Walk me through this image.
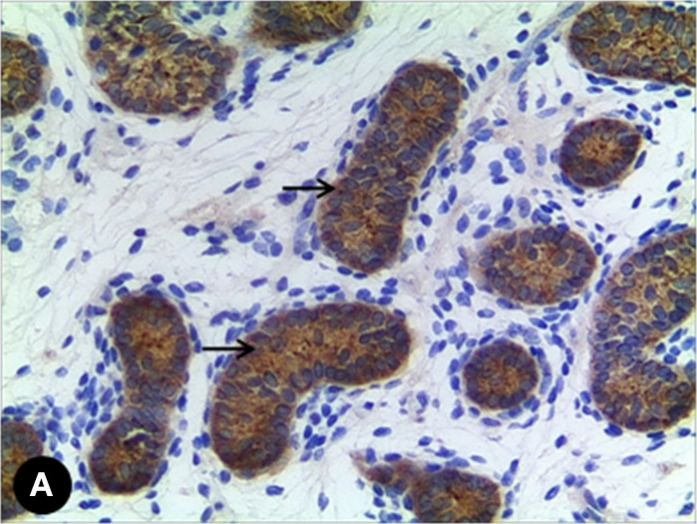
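These are small seminiferous tubules of an undeveloped testis, each a solid cord of Sertoli cells. The cells are crowded, with oval nuclei, and their cytoplasm is stained brown. Between the cords lies loose, pale connective tissue with scattered blue, spindle-shaped and round nuclei.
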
